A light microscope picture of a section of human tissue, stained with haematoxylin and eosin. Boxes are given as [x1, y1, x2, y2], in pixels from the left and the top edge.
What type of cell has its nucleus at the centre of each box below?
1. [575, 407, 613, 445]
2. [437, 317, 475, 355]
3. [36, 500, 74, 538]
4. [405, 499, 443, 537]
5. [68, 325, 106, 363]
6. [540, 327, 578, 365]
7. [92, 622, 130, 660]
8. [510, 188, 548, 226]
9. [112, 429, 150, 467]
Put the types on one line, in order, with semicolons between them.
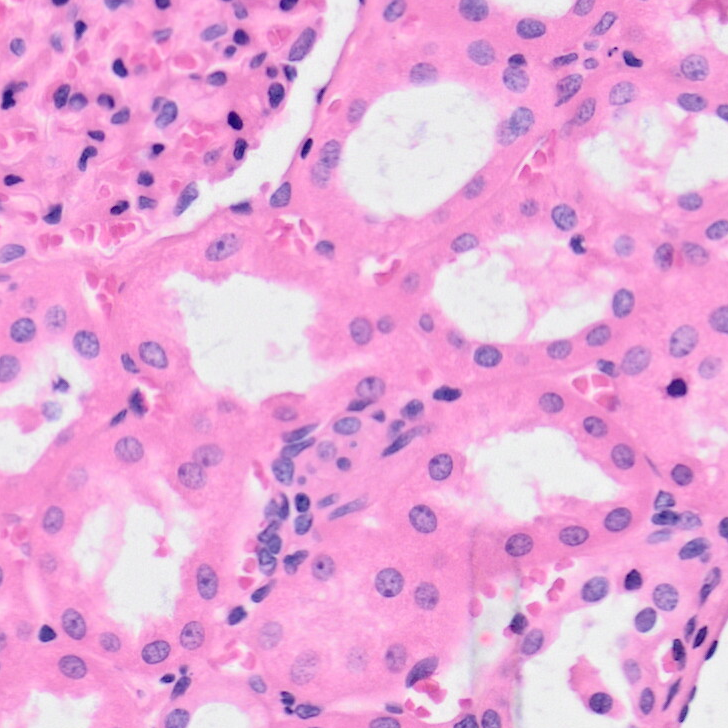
proximal tubule cell; loop of Henle or distal tubule cell; proximal tubule cell; proximal tubule cell; loop of Henle or distal tubule cell; loop of Henle or distal tubule cell; proximal tubule cell; loop of Henle or distal tubule cell; proximal tubule cell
